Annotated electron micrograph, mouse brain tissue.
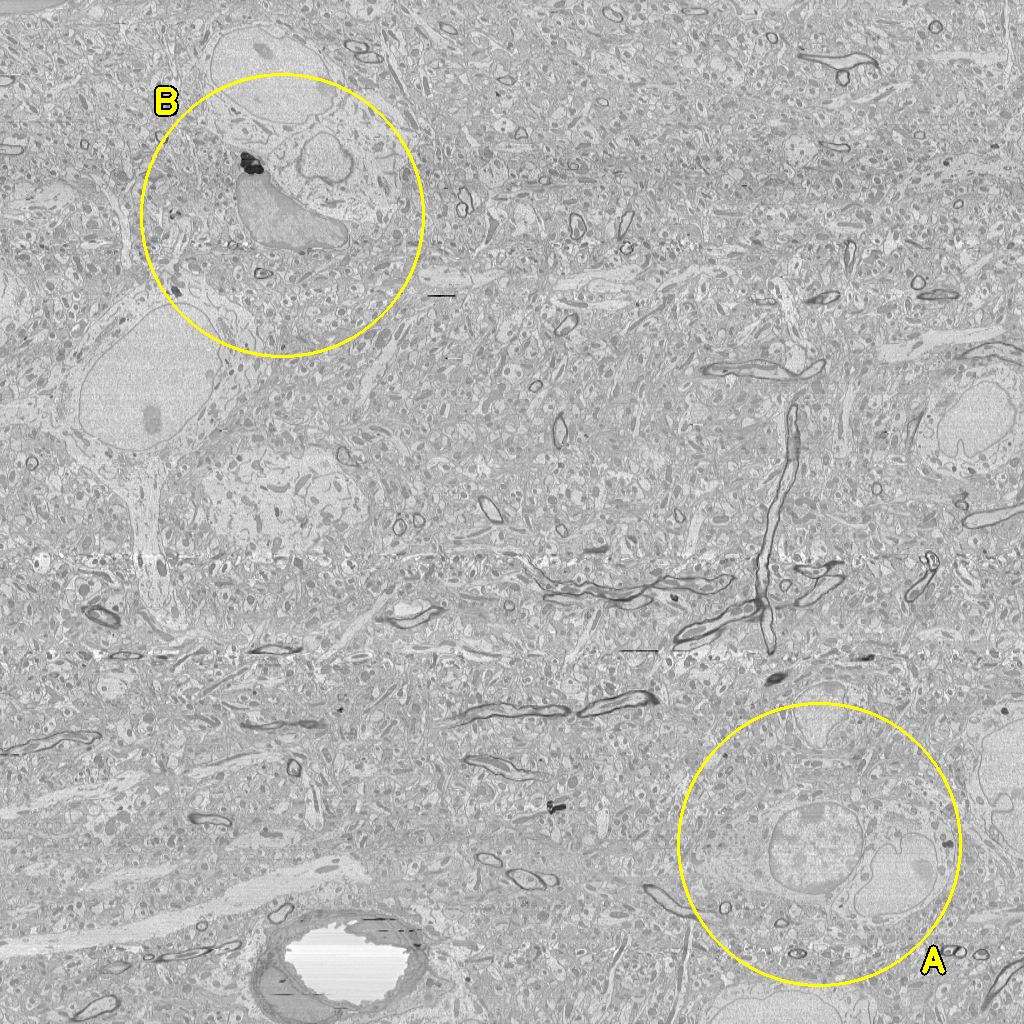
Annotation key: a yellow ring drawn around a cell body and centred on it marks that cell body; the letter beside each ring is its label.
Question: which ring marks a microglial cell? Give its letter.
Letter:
B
